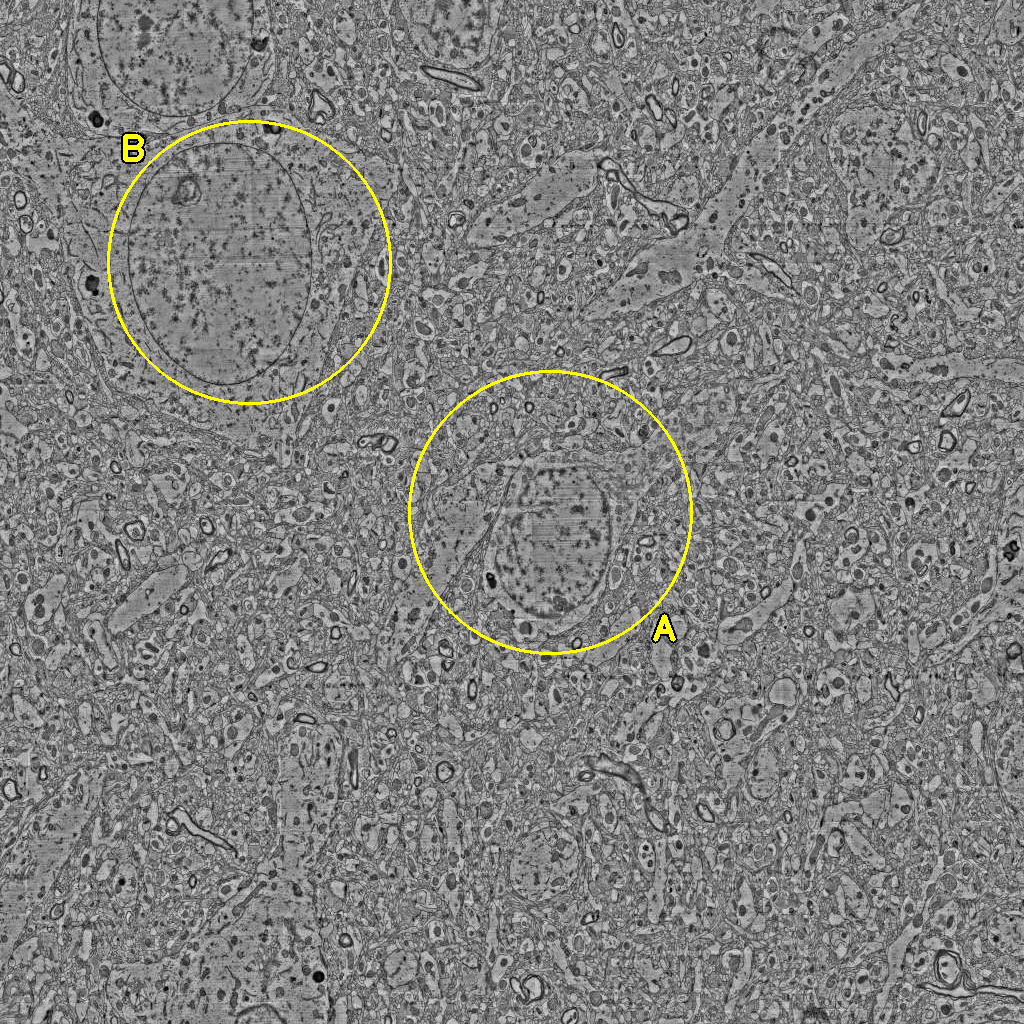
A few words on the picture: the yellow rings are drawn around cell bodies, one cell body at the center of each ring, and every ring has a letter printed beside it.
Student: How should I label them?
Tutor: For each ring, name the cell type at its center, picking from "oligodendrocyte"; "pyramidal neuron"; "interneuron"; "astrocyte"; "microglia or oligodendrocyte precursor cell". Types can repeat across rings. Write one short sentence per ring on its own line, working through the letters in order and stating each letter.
In ring A, the central cell is an interneuron.
In ring B, the central cell is a pyramidal neuron.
